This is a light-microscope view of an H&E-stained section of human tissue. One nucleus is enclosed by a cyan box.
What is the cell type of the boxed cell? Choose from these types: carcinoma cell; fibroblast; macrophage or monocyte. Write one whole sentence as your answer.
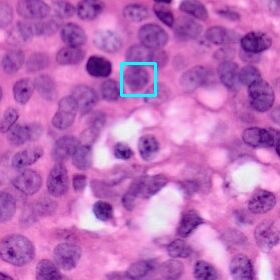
Cell type answer for this item: the boxed cell is a carcinoma cell.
